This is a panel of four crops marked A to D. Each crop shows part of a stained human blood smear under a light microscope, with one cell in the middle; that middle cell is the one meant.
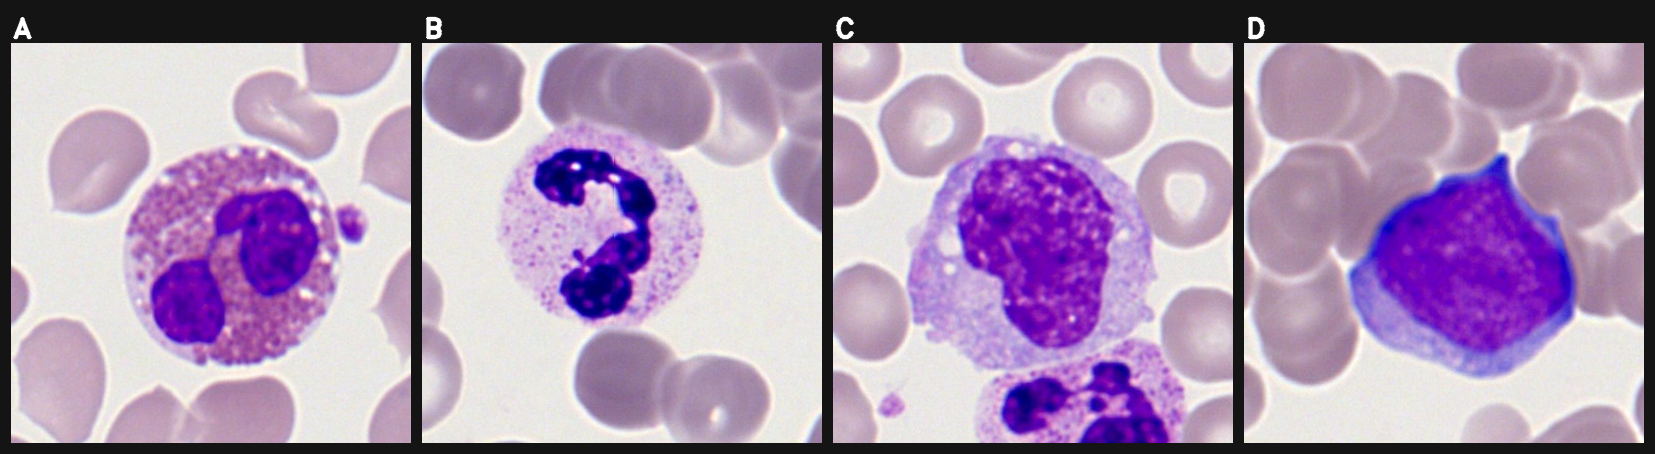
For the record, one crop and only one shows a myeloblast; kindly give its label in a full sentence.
Crop D is where a myeloblast is shown.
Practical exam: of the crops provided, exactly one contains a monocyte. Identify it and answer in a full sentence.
Crop C is the right one; it is the crop showing a monocyte.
